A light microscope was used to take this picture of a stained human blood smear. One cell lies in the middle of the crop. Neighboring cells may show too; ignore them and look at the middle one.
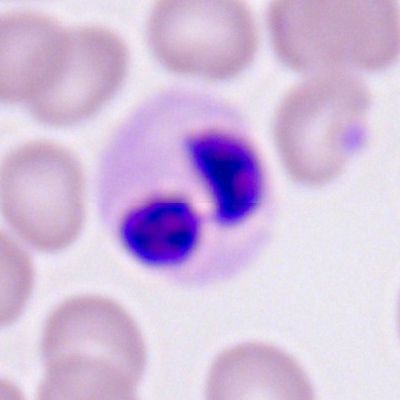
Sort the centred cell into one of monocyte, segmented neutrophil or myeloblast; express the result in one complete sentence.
The target cell in the middle of the crop is a segmented neutrophil.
